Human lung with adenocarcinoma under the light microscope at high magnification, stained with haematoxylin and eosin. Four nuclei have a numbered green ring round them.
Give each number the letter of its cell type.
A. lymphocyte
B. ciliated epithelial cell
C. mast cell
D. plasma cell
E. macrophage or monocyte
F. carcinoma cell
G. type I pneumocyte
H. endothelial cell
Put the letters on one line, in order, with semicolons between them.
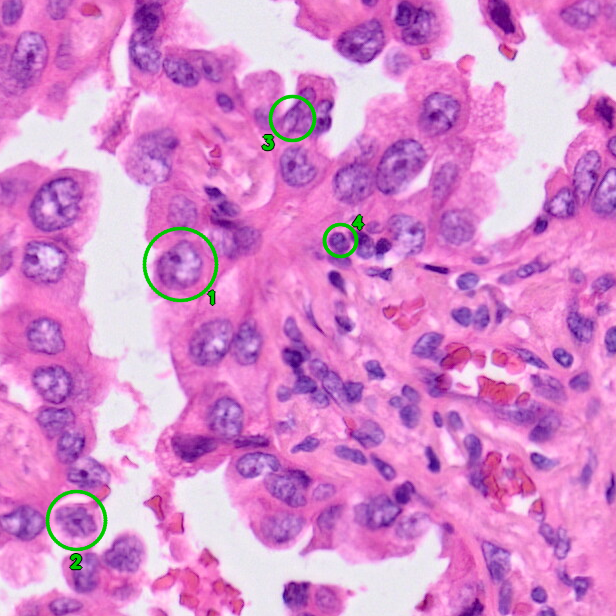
F; F; F; A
